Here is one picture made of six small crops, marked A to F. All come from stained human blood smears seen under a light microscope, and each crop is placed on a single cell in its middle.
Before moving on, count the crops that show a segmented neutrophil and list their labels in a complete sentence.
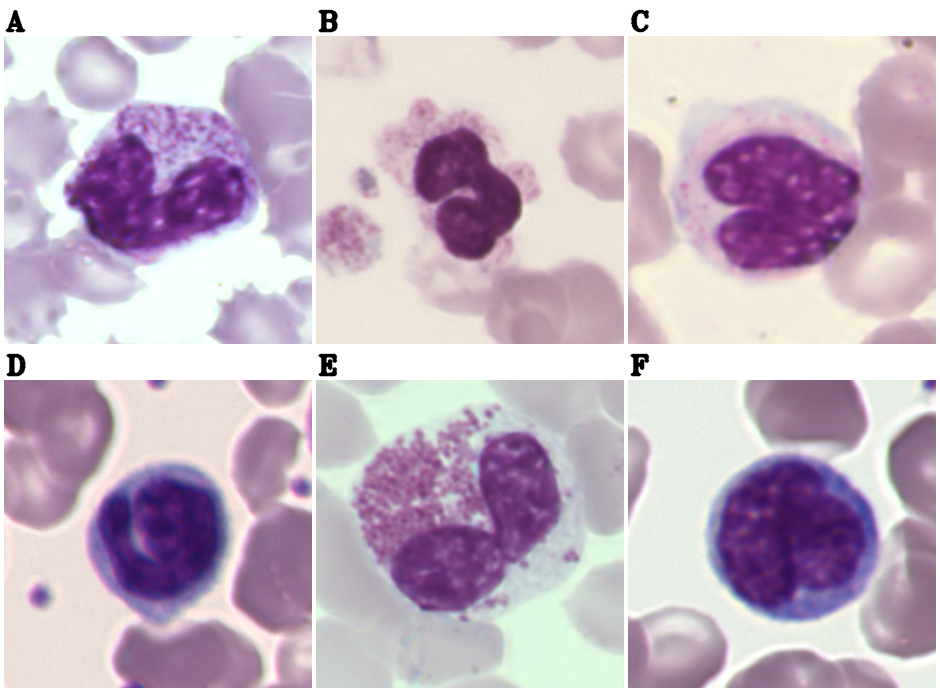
The only crop with a segmented neutrophil in the middle is crop B.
